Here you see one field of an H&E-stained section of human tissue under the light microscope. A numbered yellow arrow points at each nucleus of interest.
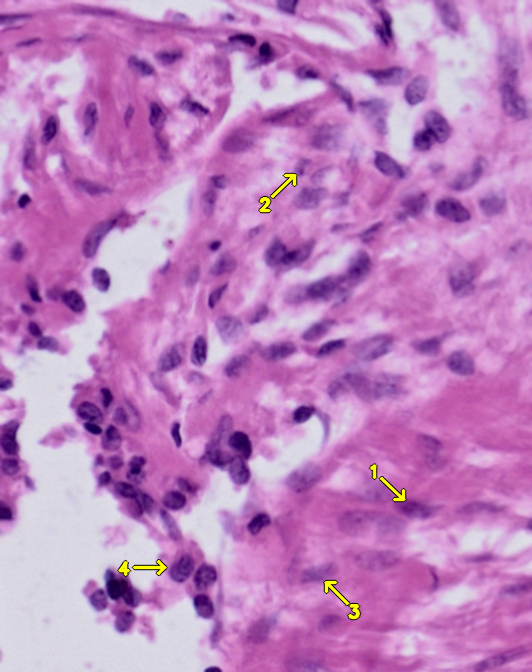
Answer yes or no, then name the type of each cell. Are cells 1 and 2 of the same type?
Yes, regarding cells 1 and 2, both are fibroblasts.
